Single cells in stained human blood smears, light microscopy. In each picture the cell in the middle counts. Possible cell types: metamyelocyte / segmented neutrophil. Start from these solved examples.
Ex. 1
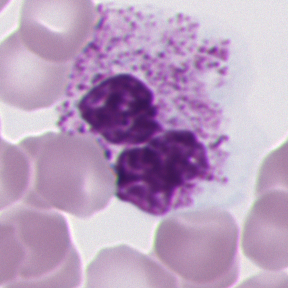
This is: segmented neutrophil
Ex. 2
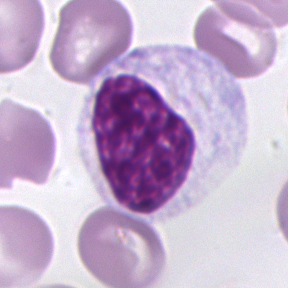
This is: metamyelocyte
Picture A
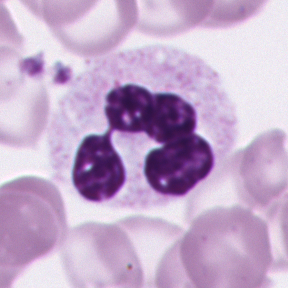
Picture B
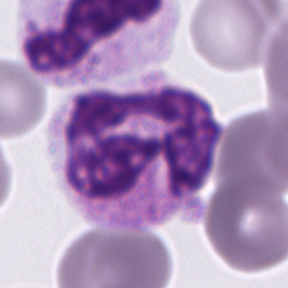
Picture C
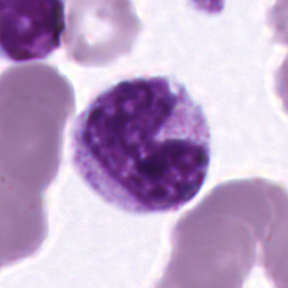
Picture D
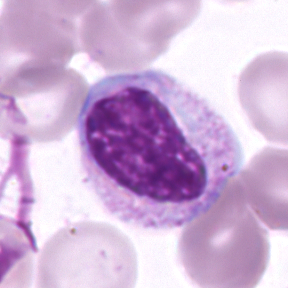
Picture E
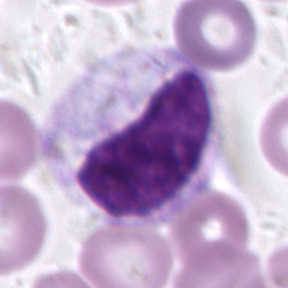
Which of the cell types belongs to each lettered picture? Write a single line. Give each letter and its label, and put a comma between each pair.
A segmented neutrophil, B segmented neutrophil, C metamyelocyte, D metamyelocyte, E metamyelocyte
